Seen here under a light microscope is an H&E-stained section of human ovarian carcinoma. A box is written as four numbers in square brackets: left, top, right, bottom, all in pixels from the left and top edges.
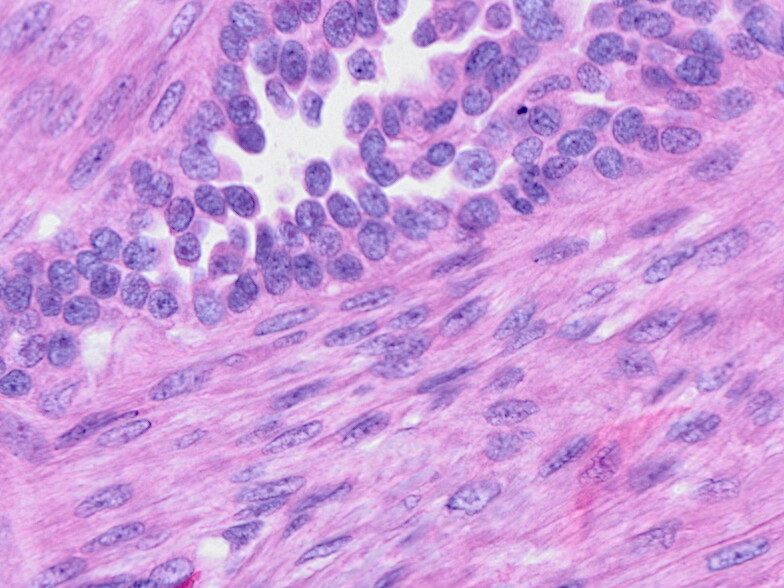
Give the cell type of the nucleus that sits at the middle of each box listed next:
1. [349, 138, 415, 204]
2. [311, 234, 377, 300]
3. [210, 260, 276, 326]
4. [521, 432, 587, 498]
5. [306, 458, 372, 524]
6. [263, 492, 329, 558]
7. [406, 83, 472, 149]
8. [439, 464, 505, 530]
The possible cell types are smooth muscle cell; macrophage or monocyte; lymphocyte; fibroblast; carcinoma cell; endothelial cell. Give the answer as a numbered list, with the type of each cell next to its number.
1. carcinoma cell
2. carcinoma cell
3. carcinoma cell
4. fibroblast
5. fibroblast
6. fibroblast
7. carcinoma cell
8. fibroblast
